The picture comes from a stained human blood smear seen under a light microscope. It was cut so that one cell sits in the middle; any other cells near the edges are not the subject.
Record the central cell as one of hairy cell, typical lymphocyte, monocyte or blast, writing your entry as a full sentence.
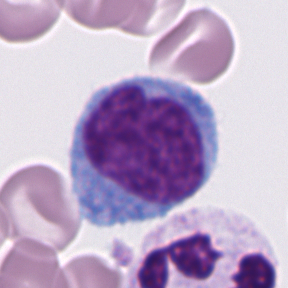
The cell in the middle of the field of view is a monocyte.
